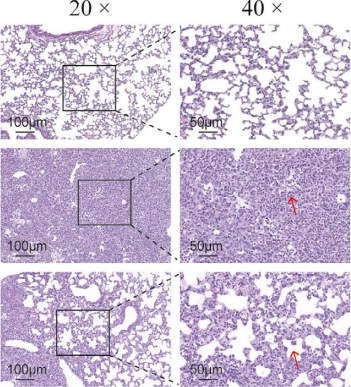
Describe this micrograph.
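Lung tissue in haematoxylin and eosin, shown in three rows of paired low- and higher-magnification fields. In the top row the alveoli are open and bounded by thin, delicate pink septa with sparse purple nuclei. In the middle row the alveolar architecture is largely effaced: the interstitium is thickened and crowded with densely packed purple nuclei of infiltrating cells, leaving only small scattered air spaces. In the bottom row the septa are moderately thickened and more cellular than in the top row, but many alveolar spaces remain open.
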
